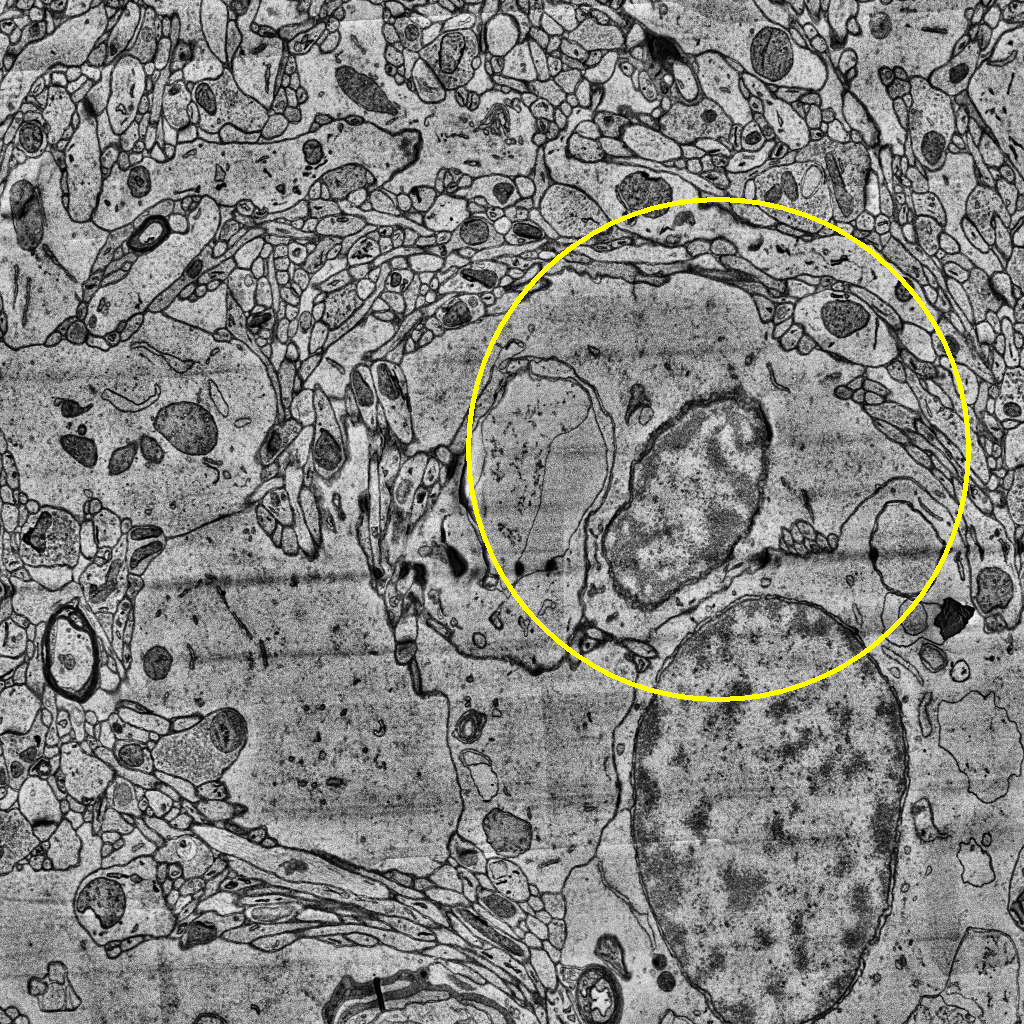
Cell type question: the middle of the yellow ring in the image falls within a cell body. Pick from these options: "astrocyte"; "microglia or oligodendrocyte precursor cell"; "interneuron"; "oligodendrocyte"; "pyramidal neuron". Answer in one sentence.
The cell body at the center of the ring belongs to an astrocyte.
